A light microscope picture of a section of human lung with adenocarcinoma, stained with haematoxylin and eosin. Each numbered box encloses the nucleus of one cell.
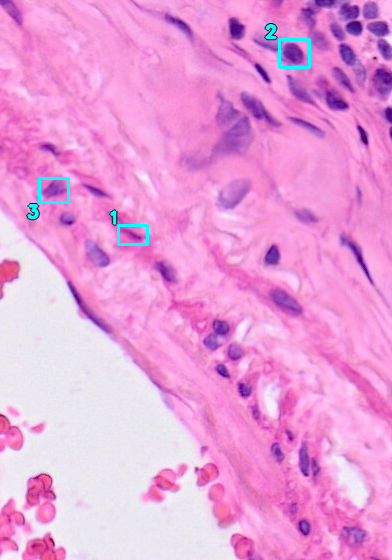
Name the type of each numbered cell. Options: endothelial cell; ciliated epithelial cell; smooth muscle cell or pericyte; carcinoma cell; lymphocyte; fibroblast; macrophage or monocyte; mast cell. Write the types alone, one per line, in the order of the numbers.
smooth muscle cell or pericyte
lymphocyte
smooth muscle cell or pericyte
